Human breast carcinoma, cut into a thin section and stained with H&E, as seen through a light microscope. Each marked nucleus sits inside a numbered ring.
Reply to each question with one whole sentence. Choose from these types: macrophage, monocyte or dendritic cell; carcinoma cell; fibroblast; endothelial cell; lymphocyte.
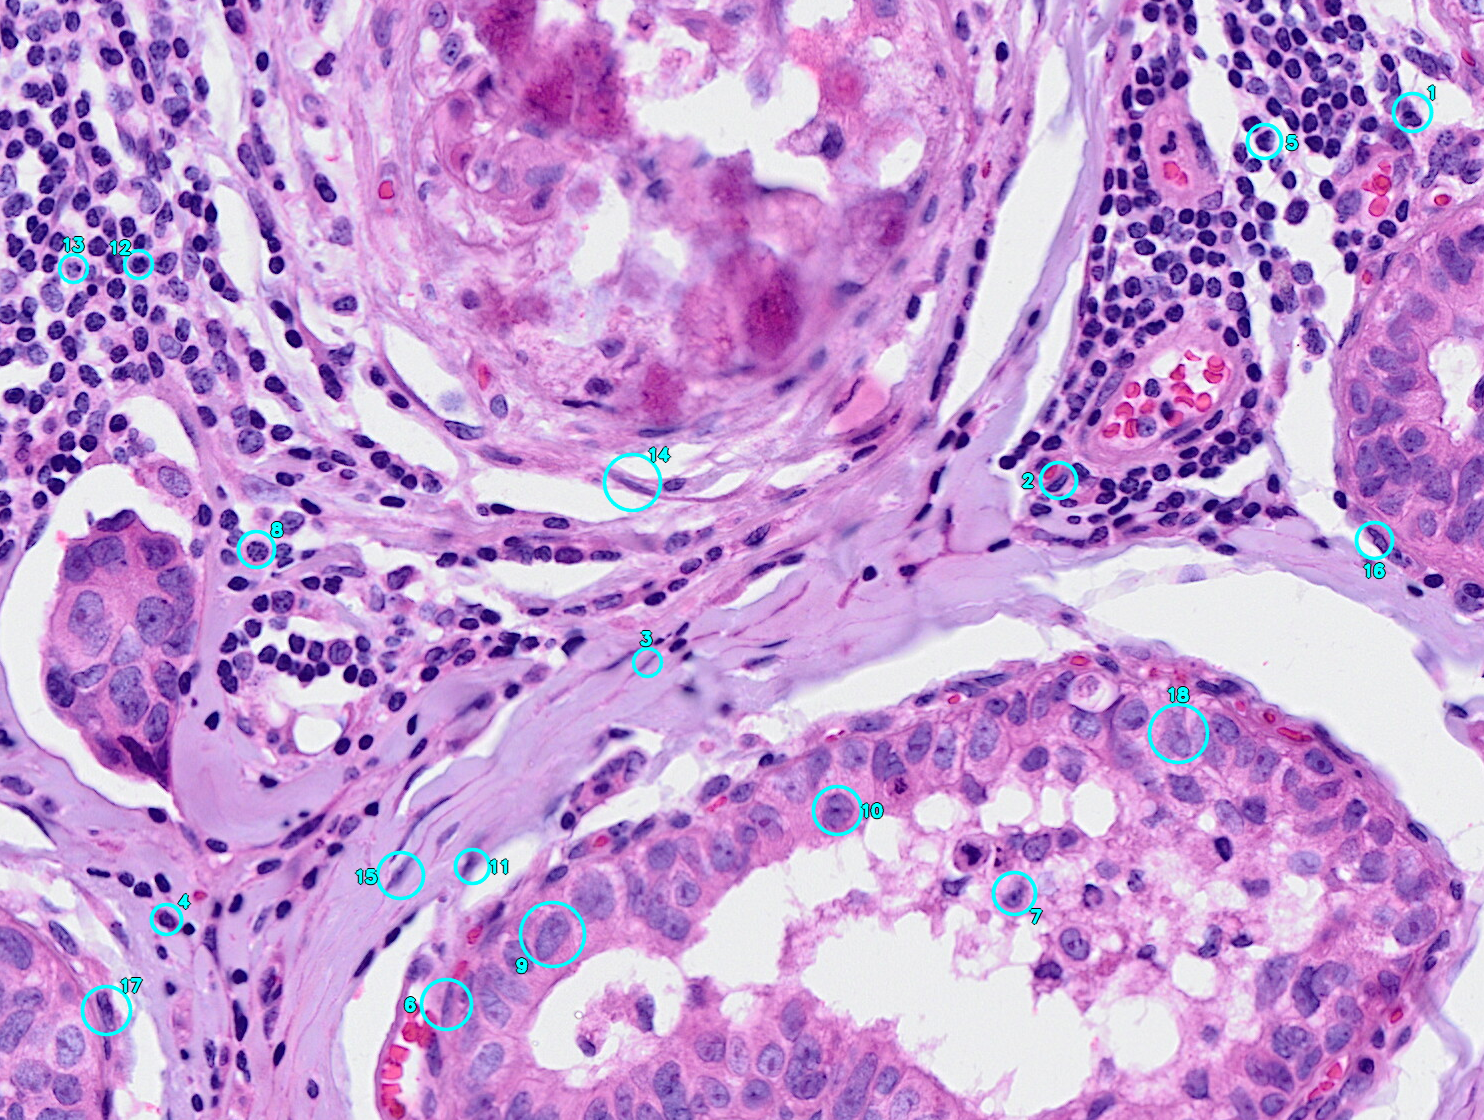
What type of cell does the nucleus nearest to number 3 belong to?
The cell nearest to number 3 is a fibroblast.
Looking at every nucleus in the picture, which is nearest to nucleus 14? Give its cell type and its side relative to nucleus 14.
The nearest nucleus is that of a macrophage, monocyte or dendritic cell and lies to the right of nucleus 14.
